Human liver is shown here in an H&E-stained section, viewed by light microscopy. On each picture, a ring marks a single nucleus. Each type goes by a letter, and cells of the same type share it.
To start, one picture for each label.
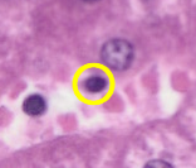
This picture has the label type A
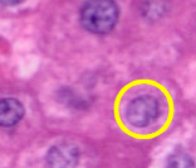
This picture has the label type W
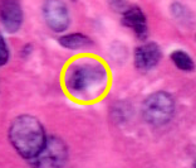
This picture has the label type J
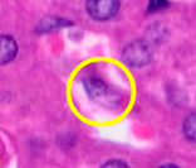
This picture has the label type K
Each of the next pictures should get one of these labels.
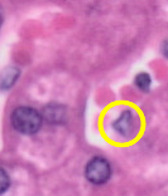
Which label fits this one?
type K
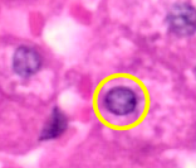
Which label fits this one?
type W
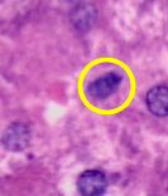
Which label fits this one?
type J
